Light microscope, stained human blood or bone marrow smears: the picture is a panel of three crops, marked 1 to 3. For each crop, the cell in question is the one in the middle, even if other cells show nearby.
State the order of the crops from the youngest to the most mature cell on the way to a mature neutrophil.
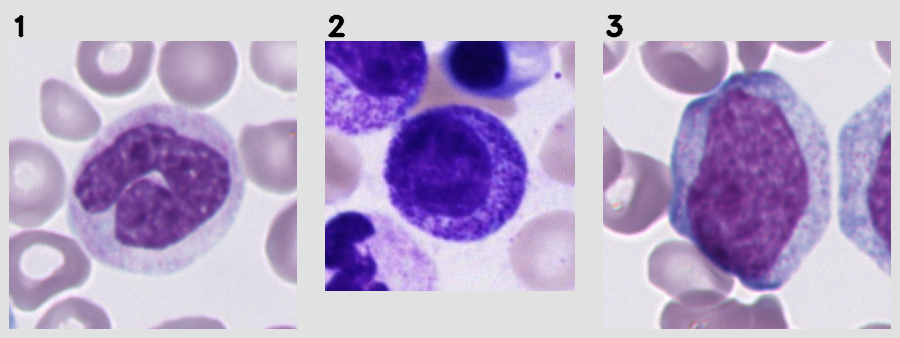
3, 2, 1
